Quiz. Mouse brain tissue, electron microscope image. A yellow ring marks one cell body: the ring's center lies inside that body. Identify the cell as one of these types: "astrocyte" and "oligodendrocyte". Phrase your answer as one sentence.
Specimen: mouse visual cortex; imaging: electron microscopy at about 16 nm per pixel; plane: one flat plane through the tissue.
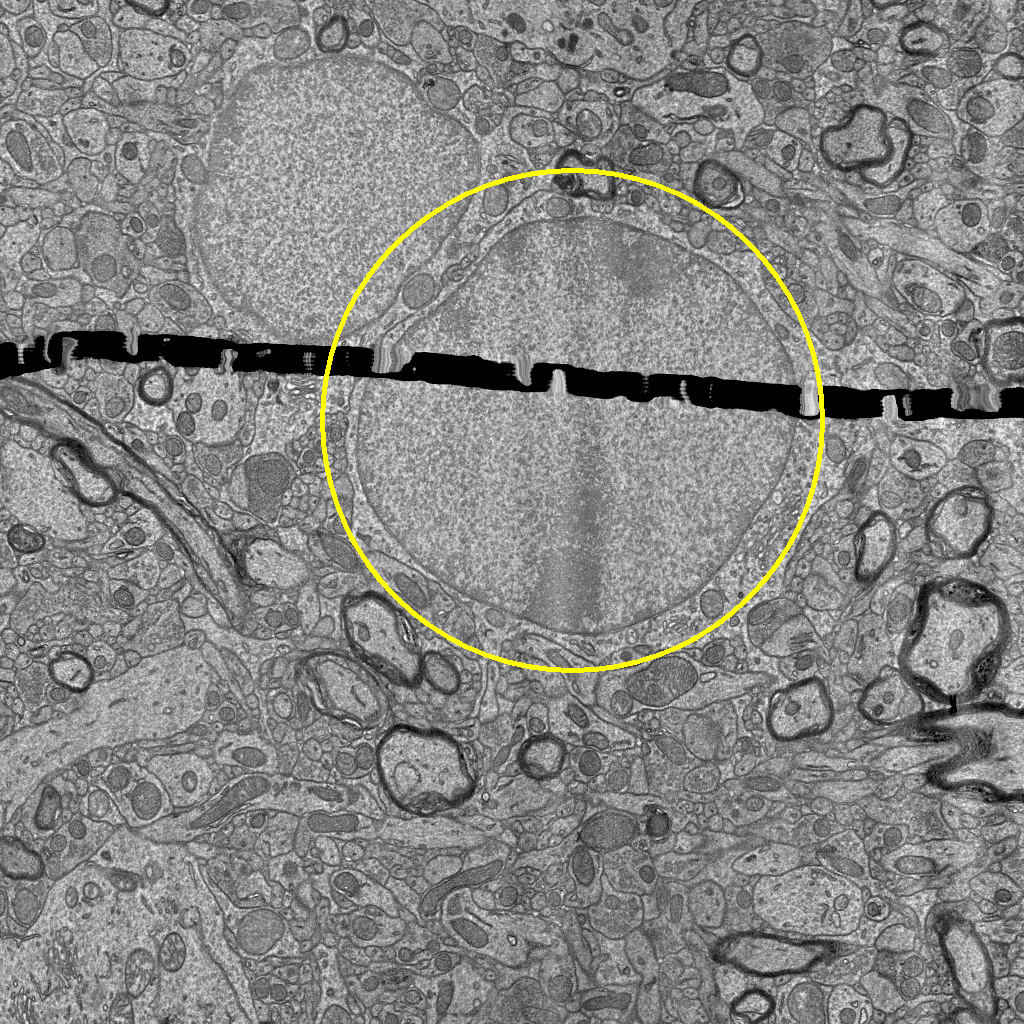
At the center of the ring sits an astrocyte.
